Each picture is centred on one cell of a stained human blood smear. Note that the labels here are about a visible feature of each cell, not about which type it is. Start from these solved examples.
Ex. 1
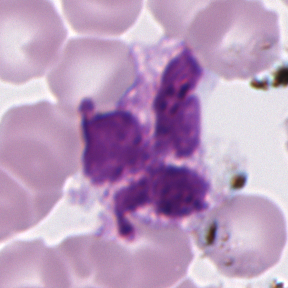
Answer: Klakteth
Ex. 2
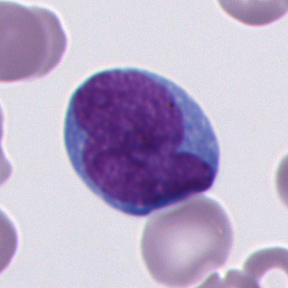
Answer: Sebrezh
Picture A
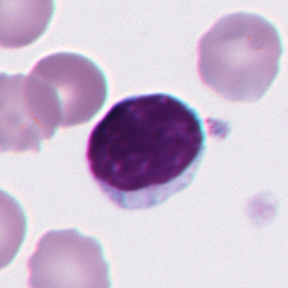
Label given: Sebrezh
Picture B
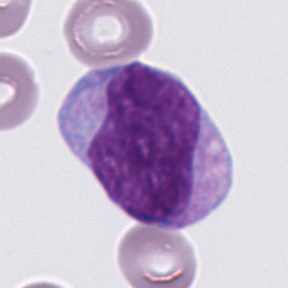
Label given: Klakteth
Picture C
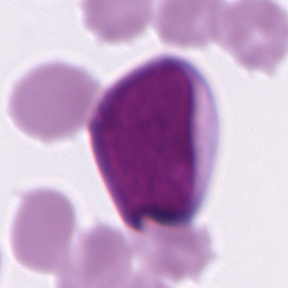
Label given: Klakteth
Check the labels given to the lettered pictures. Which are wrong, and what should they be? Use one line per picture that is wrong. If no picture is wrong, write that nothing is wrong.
B: Sebrezh, not Klakteth
C: Sebrezh, not Klakteth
